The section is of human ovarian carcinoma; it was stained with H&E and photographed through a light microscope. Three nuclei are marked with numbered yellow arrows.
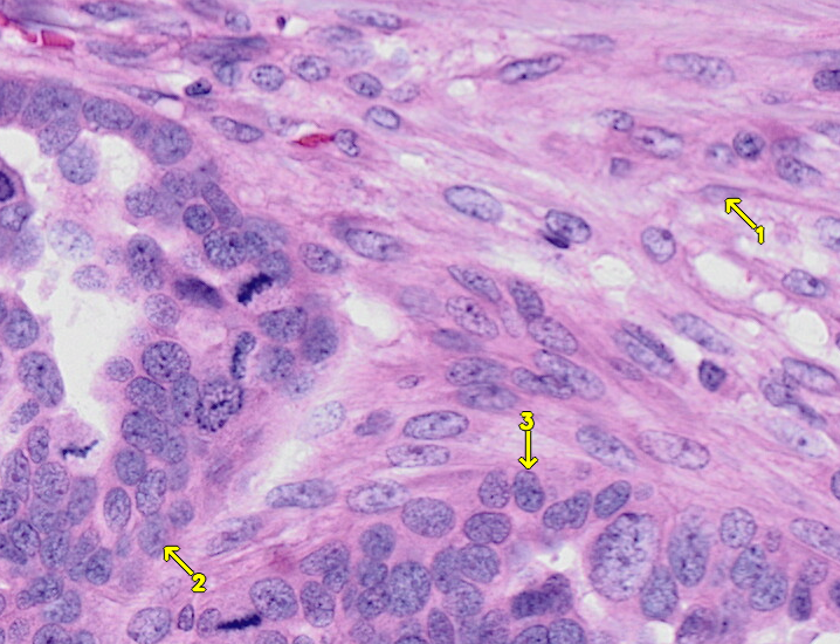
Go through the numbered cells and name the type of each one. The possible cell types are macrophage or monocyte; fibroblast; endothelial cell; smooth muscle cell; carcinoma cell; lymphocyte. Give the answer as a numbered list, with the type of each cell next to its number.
1. fibroblast
2. carcinoma cell
3. carcinoma cell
